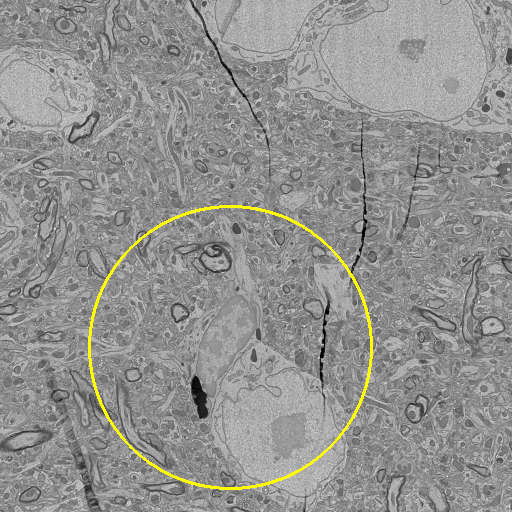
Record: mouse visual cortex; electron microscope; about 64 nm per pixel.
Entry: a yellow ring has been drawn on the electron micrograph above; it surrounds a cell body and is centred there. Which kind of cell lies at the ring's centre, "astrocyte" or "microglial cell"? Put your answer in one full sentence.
The cell sitting at the ring's centre is a microglial cell in the micrograph above.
